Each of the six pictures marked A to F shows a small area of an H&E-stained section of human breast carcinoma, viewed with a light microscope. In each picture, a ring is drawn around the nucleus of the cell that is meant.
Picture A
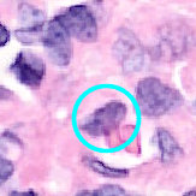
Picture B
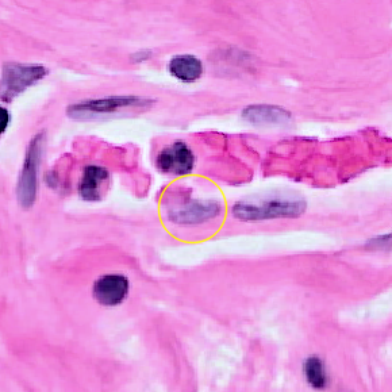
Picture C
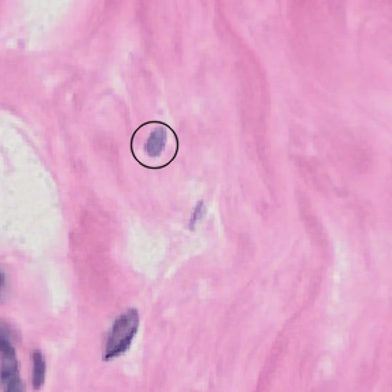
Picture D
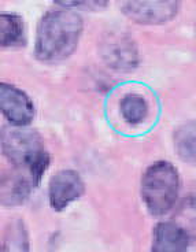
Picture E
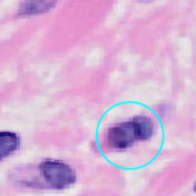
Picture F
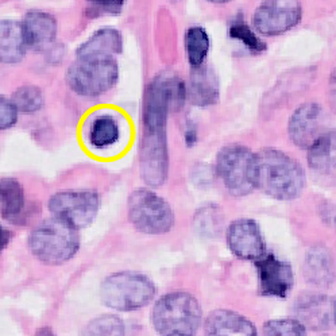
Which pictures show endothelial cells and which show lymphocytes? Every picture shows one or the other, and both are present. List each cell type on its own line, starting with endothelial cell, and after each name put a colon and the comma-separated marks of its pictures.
endothelial cell: A, B
lymphocyte: C, D, E, F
